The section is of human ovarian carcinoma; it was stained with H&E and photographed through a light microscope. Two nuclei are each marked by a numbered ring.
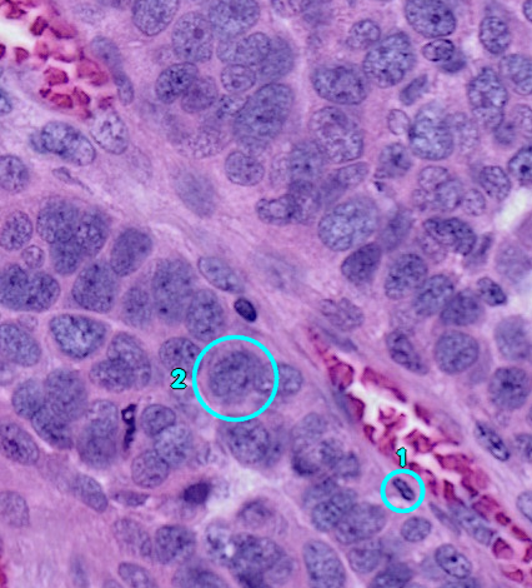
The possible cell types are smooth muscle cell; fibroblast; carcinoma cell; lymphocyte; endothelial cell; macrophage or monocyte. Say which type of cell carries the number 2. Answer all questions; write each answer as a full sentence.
Here the cell numbered 2 is a carcinoma cell.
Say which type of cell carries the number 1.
The label 1 in this section denotes a lymphocyte.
